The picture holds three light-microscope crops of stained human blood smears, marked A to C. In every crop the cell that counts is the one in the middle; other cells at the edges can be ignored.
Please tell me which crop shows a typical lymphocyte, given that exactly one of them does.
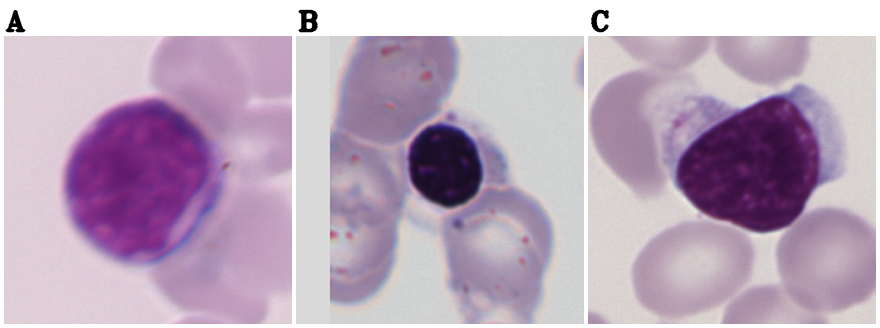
C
